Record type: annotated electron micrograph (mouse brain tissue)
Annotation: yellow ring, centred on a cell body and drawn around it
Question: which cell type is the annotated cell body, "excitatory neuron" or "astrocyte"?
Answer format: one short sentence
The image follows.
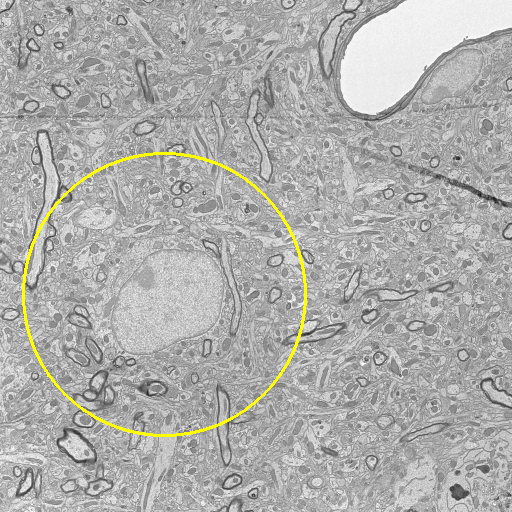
The annotated cell body is that of an astrocyte.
